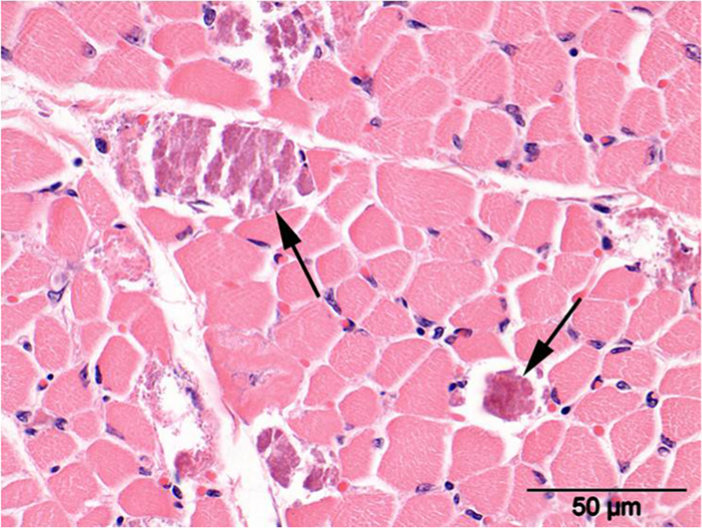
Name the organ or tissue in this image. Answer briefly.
Skeletal muscle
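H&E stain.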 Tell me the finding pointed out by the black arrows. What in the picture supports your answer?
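Arrowed fibres are purplish and granular instead of uniform pink. One arrowed fibre is broken into coarse fragments. Some affected fibres are scattered among normal fibres. So: mineralization of muscle fibres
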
